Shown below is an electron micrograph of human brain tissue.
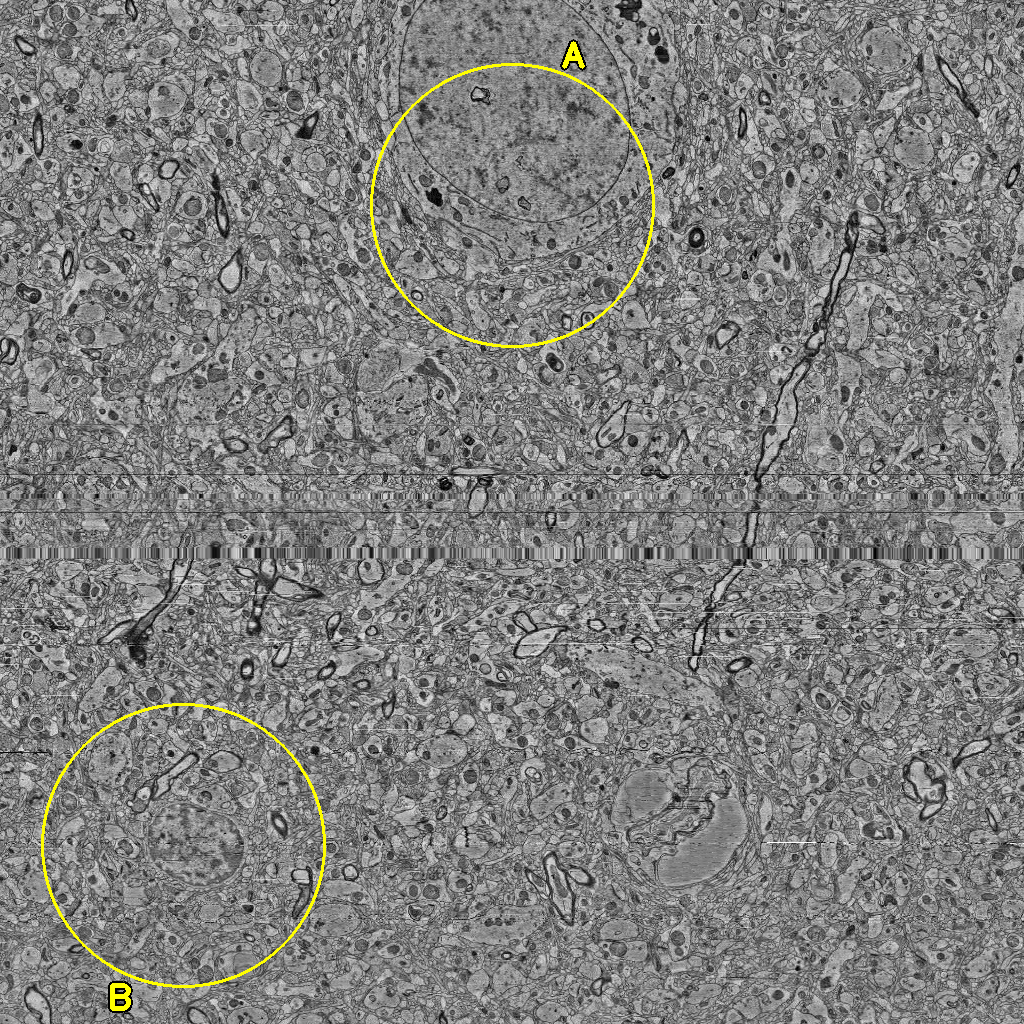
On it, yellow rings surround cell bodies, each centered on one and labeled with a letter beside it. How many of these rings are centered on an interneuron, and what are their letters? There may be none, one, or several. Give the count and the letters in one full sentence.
Checking every lettered ring turns up none centred on an interneuron, so the count stands at zero.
